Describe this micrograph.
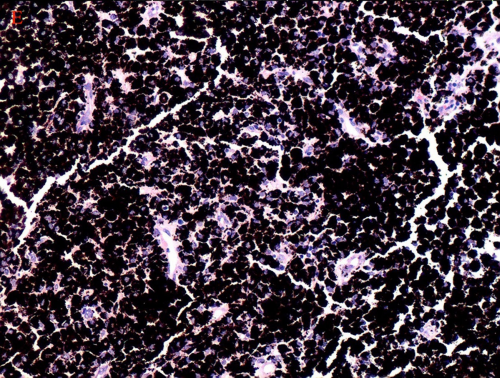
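This is a section of tumor tissue made of closely packed, rounded cells whose cytoplasm is loaded with dark brown-black pigment granules, which is melanin. The pigment is so dense that it hides most of the cells' inner detail, and each cell looks like a plump dark ball. Scattered between them are small paler, lilac-tinged patches where the pigment is less dense. Thin white clefts run through the tissue and break it into irregular clusters.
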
